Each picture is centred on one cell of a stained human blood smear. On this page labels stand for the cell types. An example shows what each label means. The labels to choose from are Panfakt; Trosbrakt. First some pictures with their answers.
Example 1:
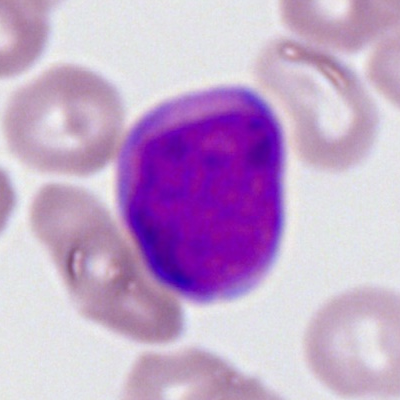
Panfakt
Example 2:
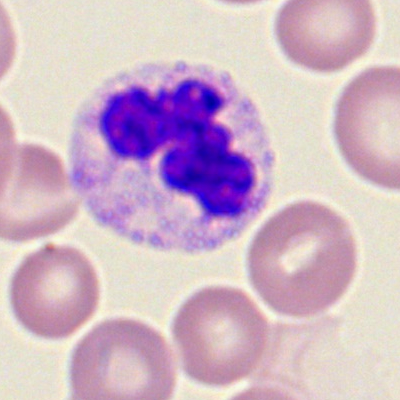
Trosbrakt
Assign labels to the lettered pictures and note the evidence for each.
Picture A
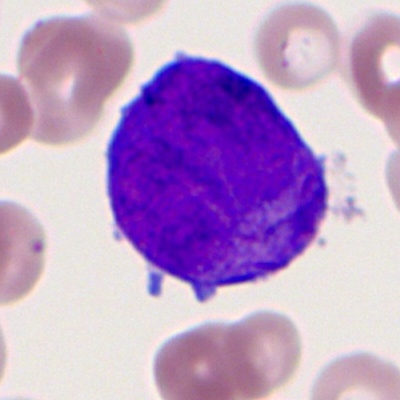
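Panfakt. Reason: The nucleus fills almost the whole cell, leaving hardly any visible cytoplasm.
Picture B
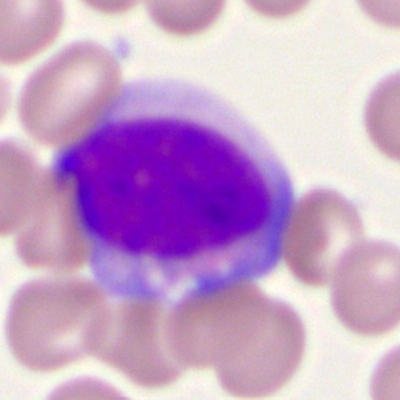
Panfakt. Reason: The nucleus fills most of the cell.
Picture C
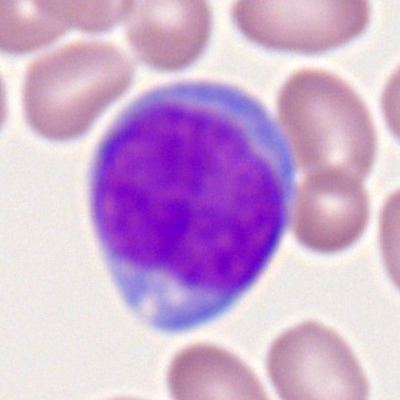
Panfakt. Reason: The nucleus fills most of the cell.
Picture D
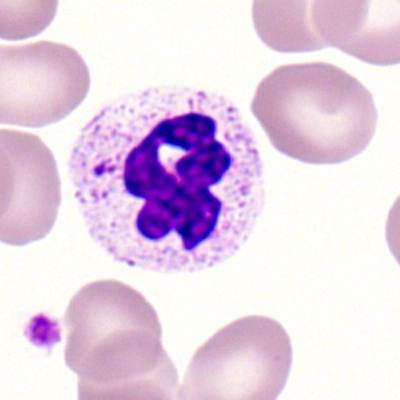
Trosbrakt. Reason: The nucleus is divided into several lobes joined together.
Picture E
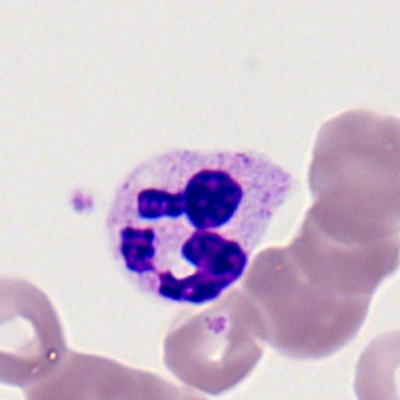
Trosbrakt. Reason: The cytoplasm is plentiful and pale pinkish-lilac.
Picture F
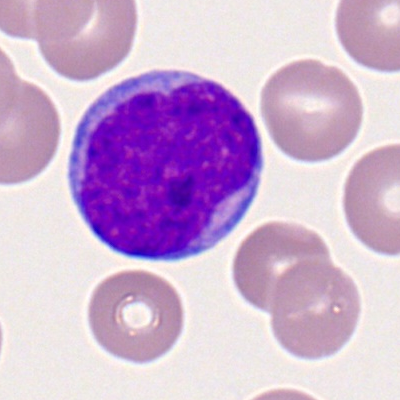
Panfakt. Reason: The cytoplasm forms only a scant rim around the nucleus.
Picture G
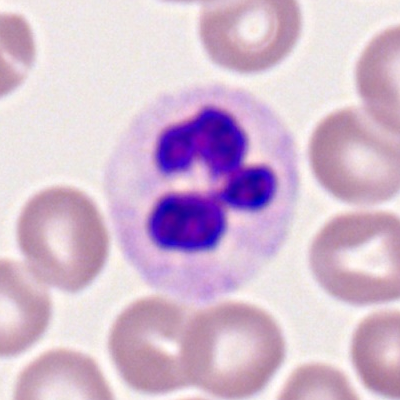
Trosbrakt. Reason: The cytoplasm is abundant and pale pinkish-lilac.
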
